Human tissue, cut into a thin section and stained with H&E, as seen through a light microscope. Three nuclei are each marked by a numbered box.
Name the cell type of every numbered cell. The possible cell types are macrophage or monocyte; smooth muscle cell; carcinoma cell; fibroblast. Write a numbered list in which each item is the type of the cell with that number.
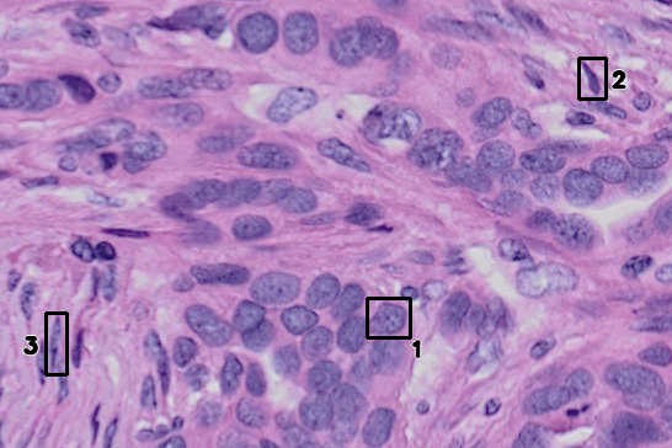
1. carcinoma cell
2. fibroblast
3. fibroblast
